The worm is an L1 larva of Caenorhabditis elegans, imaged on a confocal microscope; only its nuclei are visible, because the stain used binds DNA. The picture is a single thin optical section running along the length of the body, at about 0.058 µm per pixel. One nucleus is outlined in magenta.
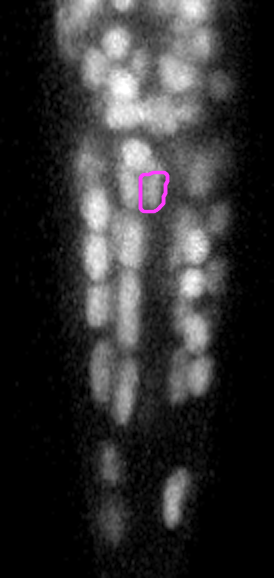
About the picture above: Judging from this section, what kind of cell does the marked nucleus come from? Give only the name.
pharyngeal muscle cell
